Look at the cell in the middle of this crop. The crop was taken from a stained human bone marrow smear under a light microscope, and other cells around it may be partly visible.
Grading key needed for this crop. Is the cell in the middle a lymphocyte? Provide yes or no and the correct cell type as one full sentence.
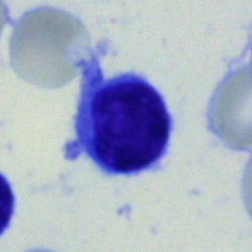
Yes, as for the central cell, it is a lymphocyte.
